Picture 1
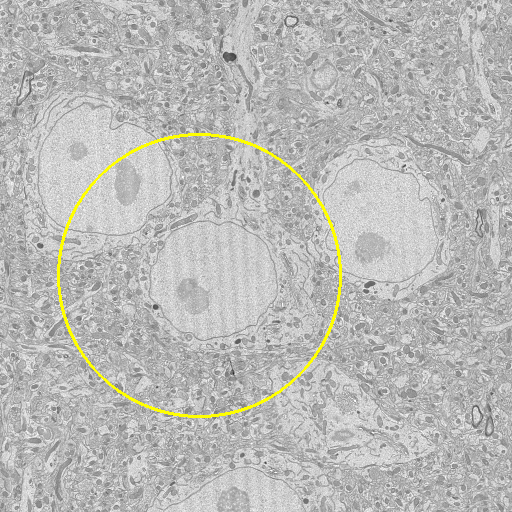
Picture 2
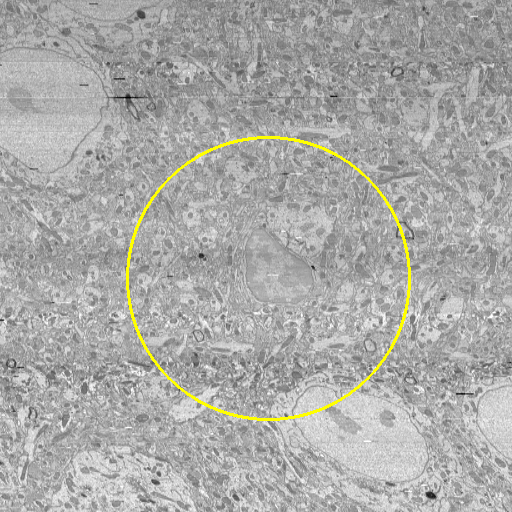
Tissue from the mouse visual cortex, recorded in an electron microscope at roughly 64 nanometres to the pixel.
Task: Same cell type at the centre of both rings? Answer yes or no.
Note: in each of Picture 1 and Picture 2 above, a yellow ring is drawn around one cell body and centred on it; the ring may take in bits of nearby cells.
no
